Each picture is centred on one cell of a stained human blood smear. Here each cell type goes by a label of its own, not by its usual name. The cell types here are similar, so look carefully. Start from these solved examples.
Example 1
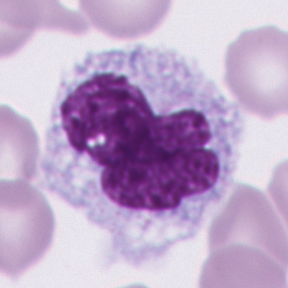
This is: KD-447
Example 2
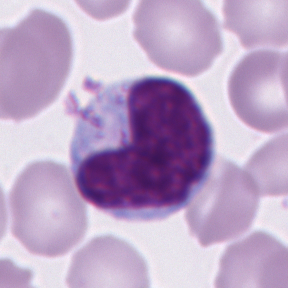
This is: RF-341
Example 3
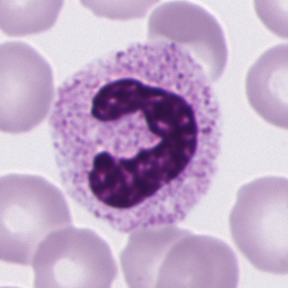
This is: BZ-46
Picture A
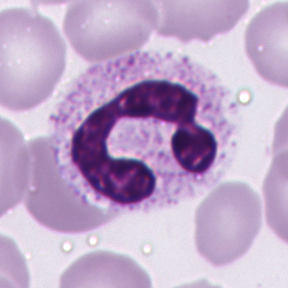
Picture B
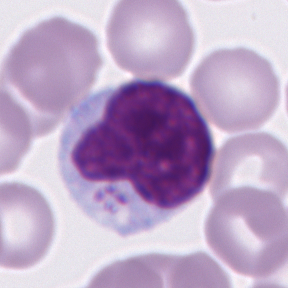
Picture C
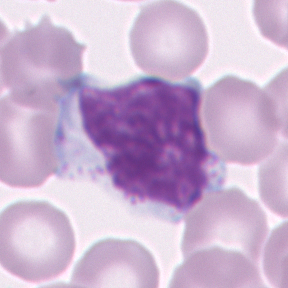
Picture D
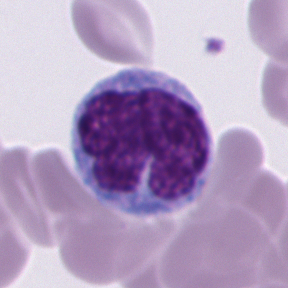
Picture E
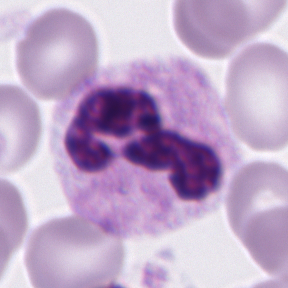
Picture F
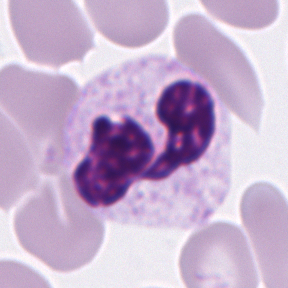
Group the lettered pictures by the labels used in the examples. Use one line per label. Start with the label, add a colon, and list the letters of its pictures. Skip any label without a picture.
KD-447: D
RF-341: B, C
BZ-46: A, E, F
